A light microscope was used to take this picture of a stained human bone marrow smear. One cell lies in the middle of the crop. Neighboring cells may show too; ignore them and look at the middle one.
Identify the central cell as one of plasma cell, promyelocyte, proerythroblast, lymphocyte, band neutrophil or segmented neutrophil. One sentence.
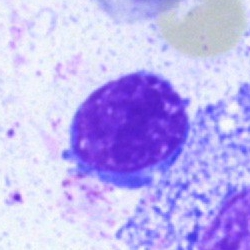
In short, the cell at the center is a lymphocyte.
